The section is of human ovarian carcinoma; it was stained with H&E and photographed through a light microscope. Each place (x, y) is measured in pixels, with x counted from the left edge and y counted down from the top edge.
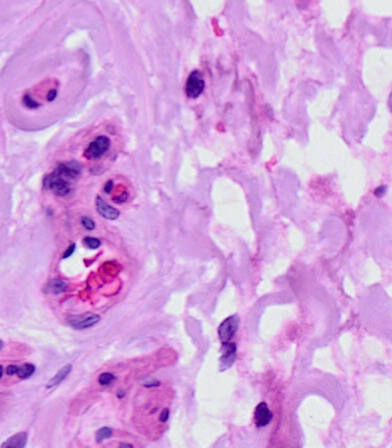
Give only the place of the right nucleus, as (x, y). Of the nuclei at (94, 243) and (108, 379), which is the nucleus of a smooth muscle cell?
(108, 379)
